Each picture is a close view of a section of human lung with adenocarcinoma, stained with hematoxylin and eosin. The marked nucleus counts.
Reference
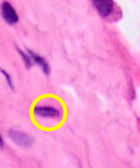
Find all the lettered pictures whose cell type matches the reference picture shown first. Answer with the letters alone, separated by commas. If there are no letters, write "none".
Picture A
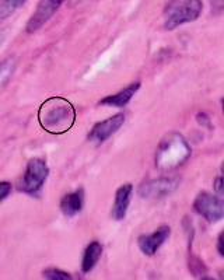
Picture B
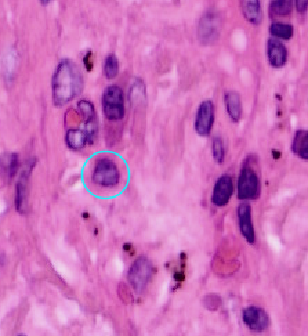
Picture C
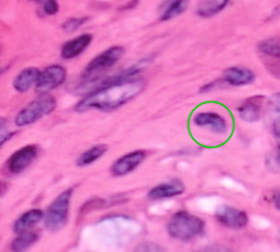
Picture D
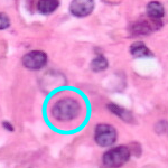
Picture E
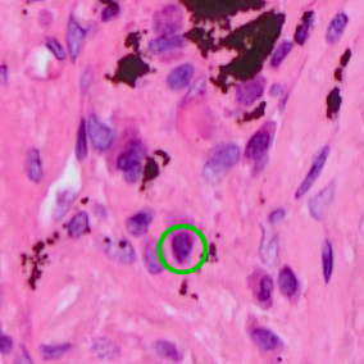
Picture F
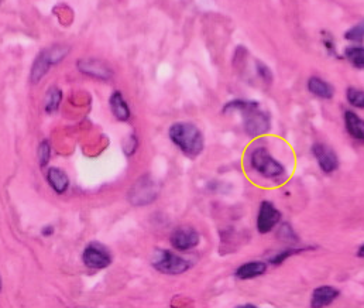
A, B, C, D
